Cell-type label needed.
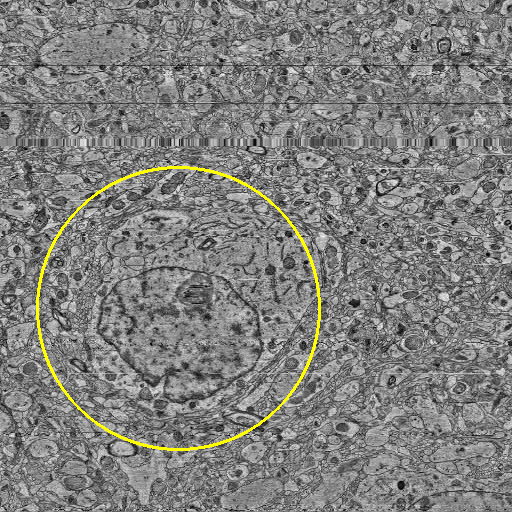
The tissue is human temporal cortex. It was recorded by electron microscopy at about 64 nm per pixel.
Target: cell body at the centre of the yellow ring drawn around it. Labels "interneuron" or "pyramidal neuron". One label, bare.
pyramidal neuron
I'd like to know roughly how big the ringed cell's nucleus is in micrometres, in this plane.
The nucleus has a long axis of about 11 micrometres and a short axis of about 9 micrometres in this plane.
